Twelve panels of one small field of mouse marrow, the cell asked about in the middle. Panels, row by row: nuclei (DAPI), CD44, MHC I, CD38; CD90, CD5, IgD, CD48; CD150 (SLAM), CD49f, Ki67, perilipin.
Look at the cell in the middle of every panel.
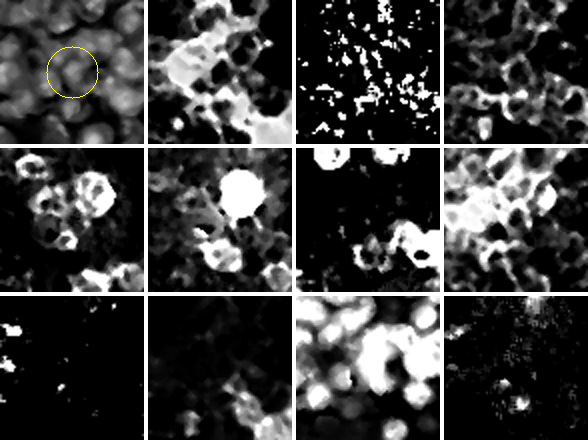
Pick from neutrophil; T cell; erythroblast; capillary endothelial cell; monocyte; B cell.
B cell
